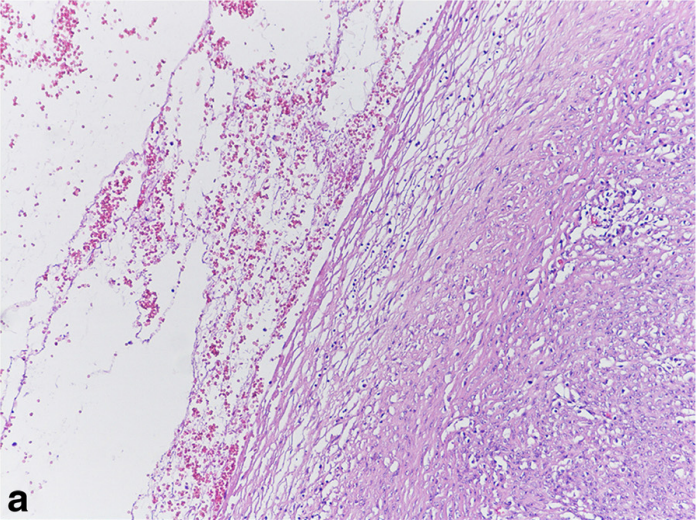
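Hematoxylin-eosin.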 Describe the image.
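The edge of a cystic space and its wall: on one side a pale cavity holding many scattered red blood cells, on the other a band of pink fibrous tissue with scattered spindle-shaped and small round nuclei. The inner surface of the wall has no epithelial lining, the blood cells lying directly against the fibrous tissue.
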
